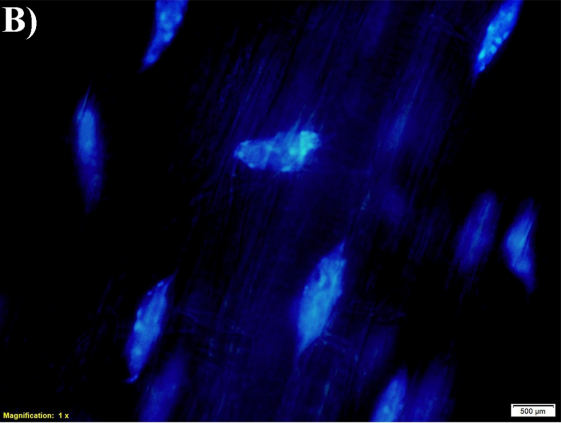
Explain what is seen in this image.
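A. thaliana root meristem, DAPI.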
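Root cells with nuclei showing fragmented chromatin. Blue-stained nuclei are scattered along elongated cells whose faint longitudinal walls run diagonally across the field. The nuclei are spindle-shaped to irregular, with ragged outlines. Their blue stain is uneven: bright clumps and granules alternate with darker gaps rather than forming a smooth, homogeneous body. Some nuclei look stretched or partly broken up. The cytoplasm and walls give only a dim blue background.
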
